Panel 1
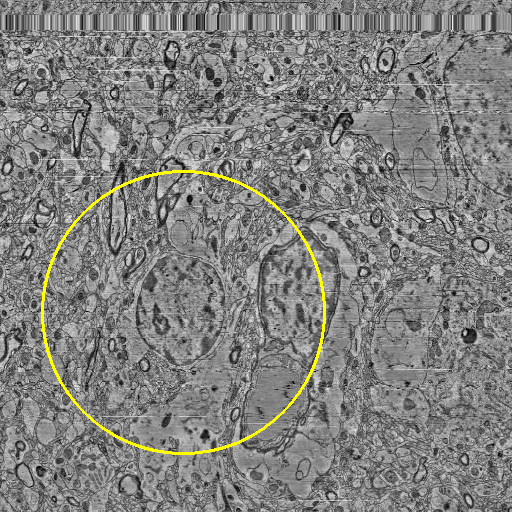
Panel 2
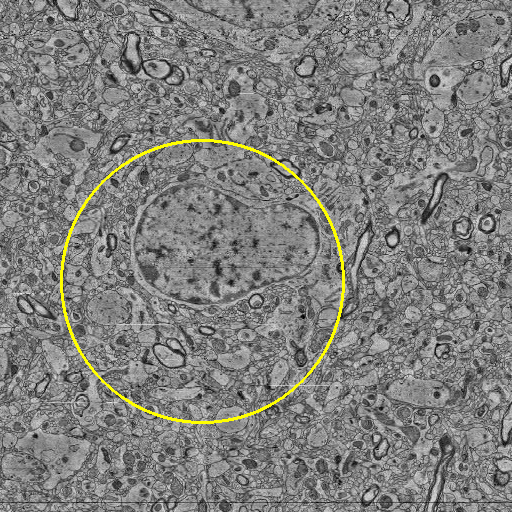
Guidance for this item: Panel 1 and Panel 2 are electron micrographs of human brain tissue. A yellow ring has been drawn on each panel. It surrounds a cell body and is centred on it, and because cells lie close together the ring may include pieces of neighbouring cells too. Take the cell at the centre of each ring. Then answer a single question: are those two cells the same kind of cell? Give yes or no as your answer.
yes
